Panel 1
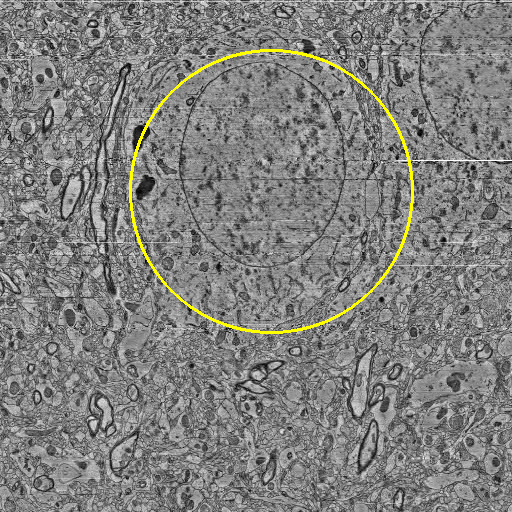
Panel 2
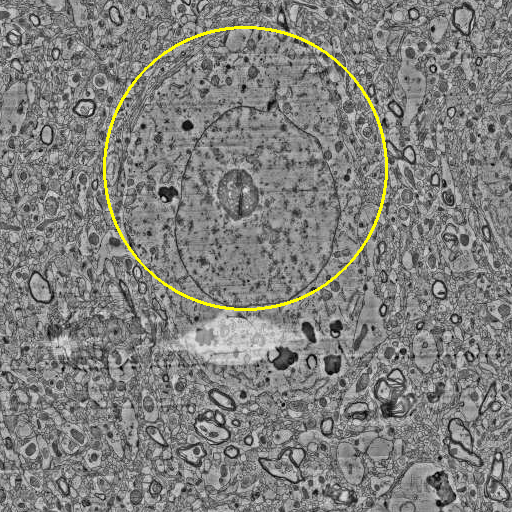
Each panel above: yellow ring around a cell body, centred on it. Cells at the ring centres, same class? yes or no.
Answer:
yes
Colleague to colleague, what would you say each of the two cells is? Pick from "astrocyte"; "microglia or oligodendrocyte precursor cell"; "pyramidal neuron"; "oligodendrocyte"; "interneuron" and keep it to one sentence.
The second cell is a pyramidal neuron, just as the first is.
